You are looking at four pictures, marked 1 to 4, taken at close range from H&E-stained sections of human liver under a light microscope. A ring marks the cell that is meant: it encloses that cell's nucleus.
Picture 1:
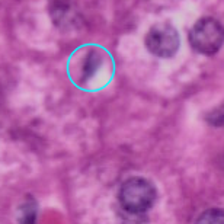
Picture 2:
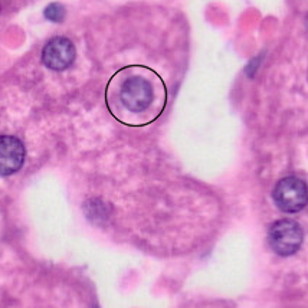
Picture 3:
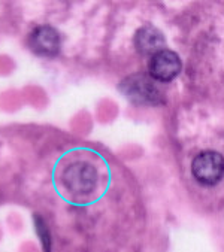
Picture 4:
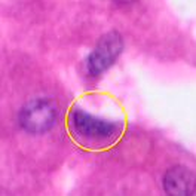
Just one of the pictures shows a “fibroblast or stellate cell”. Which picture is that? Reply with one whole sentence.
The cell in picture 4 is the “fibroblast or stellate cell”.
